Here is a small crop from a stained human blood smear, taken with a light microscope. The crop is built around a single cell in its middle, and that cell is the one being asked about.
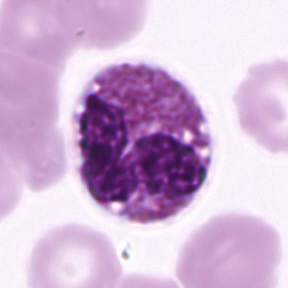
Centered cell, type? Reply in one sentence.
The central element of this crop is a cell, namely an eosinophil.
